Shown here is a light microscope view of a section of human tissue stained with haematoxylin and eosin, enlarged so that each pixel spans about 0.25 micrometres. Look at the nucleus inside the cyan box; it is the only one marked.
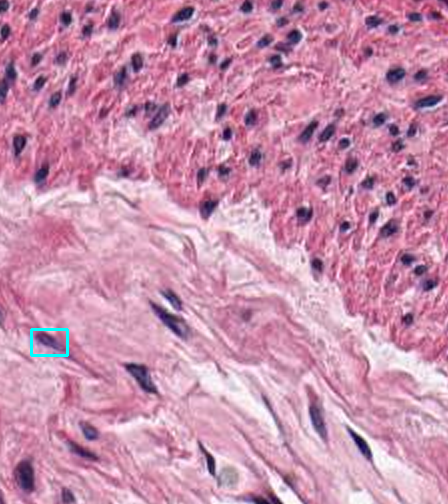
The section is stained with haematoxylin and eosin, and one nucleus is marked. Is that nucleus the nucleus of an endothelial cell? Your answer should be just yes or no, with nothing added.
no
